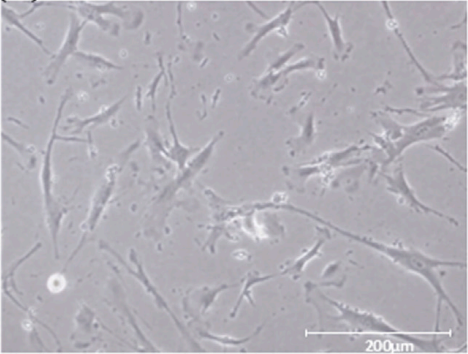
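Cultured cells seen in phase contrast are elongated and spindle-shaped, fibroblast-like, with long tapering processes. They lie singly and scattered across the dish with much free space between them; a few round bright cells are present.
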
